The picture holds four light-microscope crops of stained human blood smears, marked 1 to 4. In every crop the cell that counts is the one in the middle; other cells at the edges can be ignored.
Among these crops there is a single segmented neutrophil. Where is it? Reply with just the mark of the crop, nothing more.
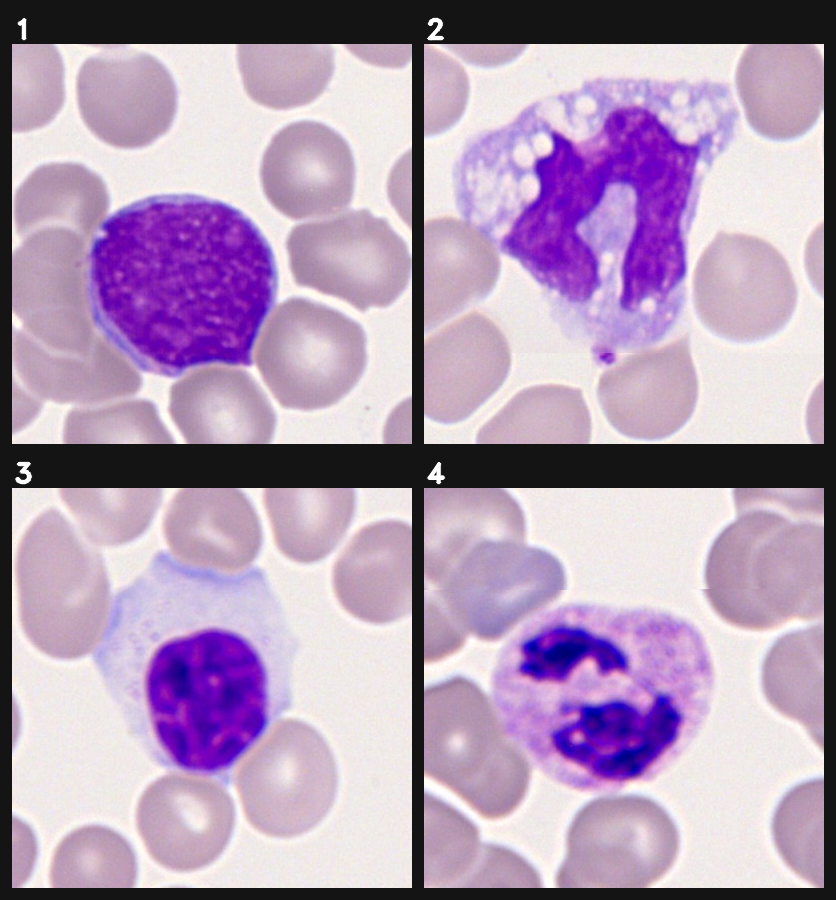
4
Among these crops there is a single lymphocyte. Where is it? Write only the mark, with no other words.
3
